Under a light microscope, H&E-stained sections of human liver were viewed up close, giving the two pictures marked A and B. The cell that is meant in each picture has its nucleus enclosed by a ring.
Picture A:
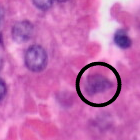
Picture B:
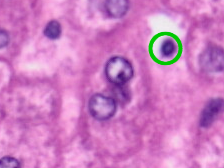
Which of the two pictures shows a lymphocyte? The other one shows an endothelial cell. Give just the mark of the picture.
B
